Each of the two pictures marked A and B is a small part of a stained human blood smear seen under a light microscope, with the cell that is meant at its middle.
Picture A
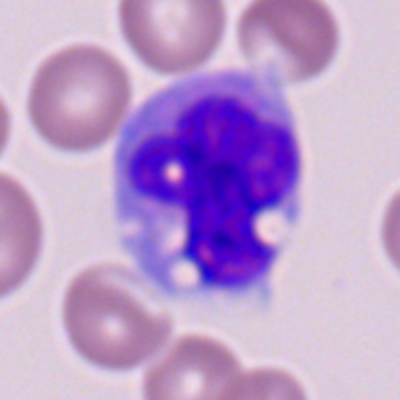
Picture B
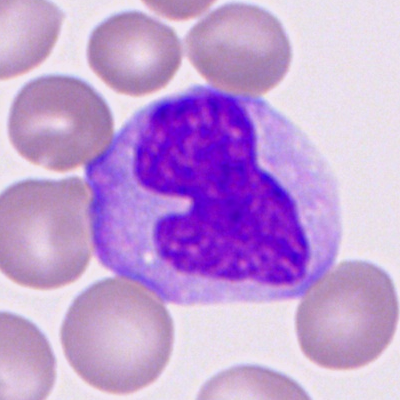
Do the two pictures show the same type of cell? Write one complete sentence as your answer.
Yes, both are monocytes.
